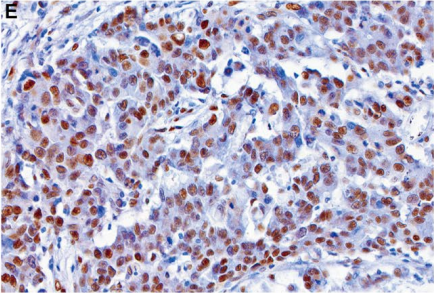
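The cells are closely packed, with scant pale cytoplasm and round to oval nuclei of varying size. Most nuclei are stained brown, some deeply, others weakly, while a minority remain blue from the counterstain. The cytoplasm around the nuclei is pale and unstained. Thin strands of fibrous stroma with slender blue spindle nuclei run between groups of tumour cells at the edges. No glands are formed in this field; the growth pattern is diffuse and solid.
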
